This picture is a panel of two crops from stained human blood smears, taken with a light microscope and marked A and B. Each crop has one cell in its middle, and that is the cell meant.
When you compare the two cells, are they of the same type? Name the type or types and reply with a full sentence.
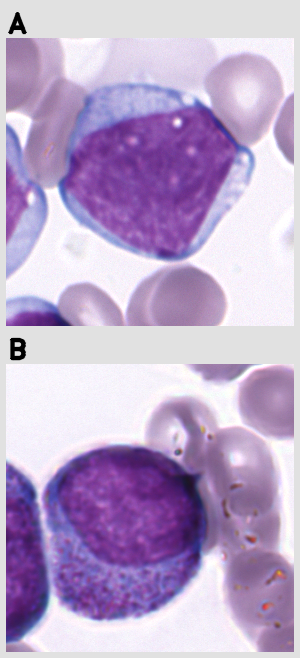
No, crop B shows a promyelocyte, and crop A shows a myeloblast.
